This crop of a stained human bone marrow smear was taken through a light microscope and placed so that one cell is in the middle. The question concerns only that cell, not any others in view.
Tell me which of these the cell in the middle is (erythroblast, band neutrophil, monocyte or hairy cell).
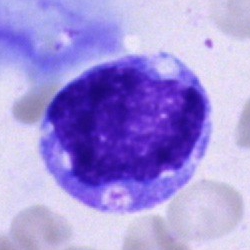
monocyte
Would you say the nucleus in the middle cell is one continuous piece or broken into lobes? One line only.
The nucleus holds together as a single compact mass, round, oval or kidney-like.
